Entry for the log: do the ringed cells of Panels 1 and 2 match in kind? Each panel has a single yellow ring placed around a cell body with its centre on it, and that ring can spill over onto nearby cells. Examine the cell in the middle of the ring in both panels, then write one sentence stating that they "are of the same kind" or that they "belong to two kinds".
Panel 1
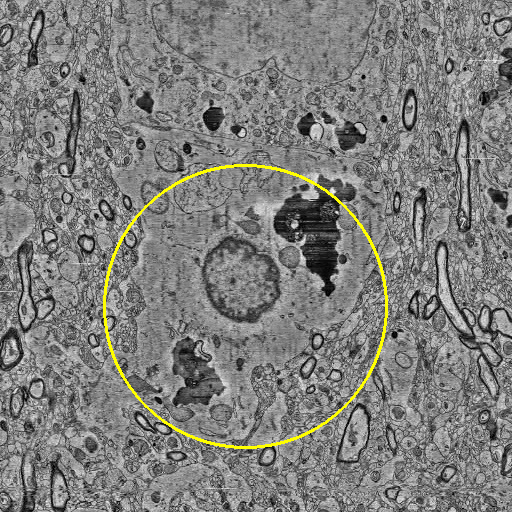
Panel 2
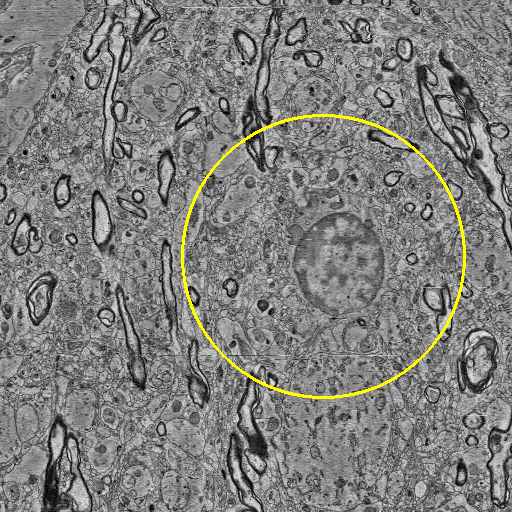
The centre cell of Panel 1's ring and that of Panel 2's ring belong to two kinds.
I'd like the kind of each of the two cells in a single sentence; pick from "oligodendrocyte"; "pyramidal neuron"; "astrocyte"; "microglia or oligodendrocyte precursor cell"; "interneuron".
The first ring marks an astrocyte, and the second ring marks an oligodendrocyte.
